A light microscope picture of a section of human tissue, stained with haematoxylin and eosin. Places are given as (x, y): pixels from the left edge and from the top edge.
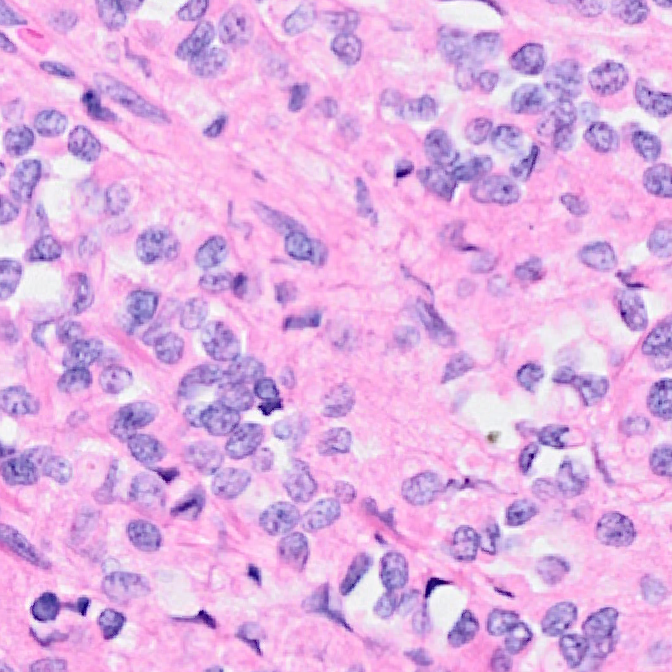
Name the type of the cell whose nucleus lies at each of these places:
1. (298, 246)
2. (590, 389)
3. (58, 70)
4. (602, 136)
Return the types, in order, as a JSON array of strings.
["endothelial cell", "carcinoma cell", "endothelial cell", "carcinoma cell"]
